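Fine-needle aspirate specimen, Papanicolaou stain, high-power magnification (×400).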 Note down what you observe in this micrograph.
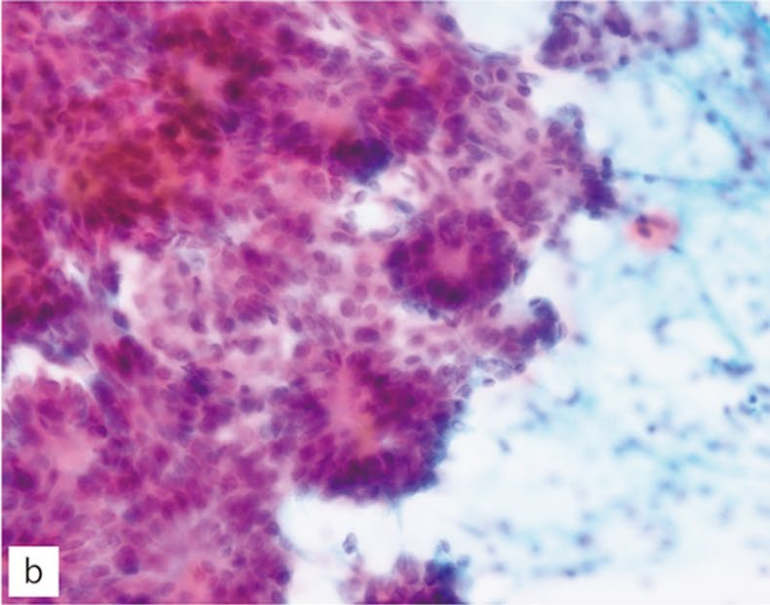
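A crowded cluster of epithelial follicular cells fills most of the field, stained pink to purple against a pale blue-green background. Their nuclei are round to oval, dark purple and much alike in size and shape, set in pinkish cytoplasm with indistinct cell borders. In places the cells gather around small pink centres in ring-like groups. The uniformity of the nuclei gives the cluster a monotonous look.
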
